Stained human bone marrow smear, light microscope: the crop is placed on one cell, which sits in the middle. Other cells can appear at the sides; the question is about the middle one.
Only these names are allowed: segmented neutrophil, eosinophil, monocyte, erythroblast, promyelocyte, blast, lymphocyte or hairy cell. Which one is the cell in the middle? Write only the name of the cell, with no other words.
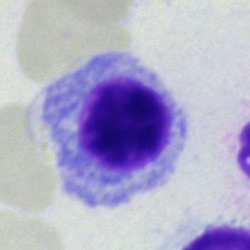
erythroblast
